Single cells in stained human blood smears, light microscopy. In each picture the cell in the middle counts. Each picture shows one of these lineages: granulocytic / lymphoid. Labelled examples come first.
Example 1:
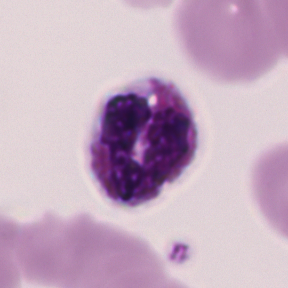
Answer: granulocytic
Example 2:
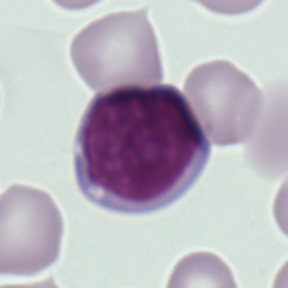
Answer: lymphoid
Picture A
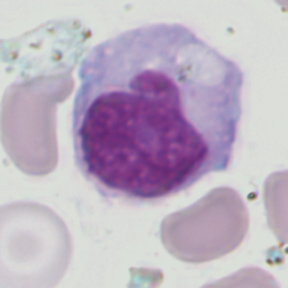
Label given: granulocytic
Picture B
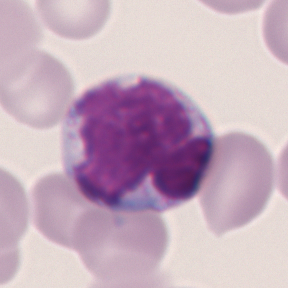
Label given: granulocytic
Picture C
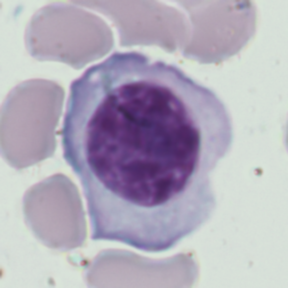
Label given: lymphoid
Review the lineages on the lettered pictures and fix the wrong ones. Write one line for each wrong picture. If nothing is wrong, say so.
A: lymphoid, not granulocytic
B: lymphoid, not granulocytic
